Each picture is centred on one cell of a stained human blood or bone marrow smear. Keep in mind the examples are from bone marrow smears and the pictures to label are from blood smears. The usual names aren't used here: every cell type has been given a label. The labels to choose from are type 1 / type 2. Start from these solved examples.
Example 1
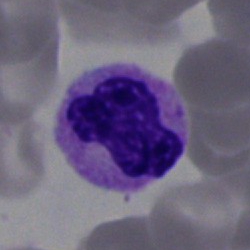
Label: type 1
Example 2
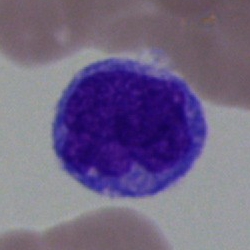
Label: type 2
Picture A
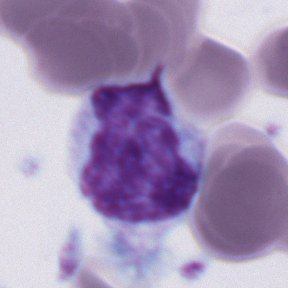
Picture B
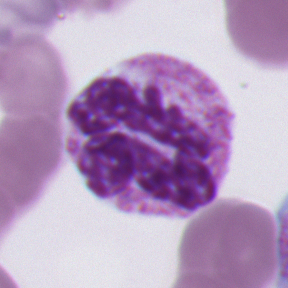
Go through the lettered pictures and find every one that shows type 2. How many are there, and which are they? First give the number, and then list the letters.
1: A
